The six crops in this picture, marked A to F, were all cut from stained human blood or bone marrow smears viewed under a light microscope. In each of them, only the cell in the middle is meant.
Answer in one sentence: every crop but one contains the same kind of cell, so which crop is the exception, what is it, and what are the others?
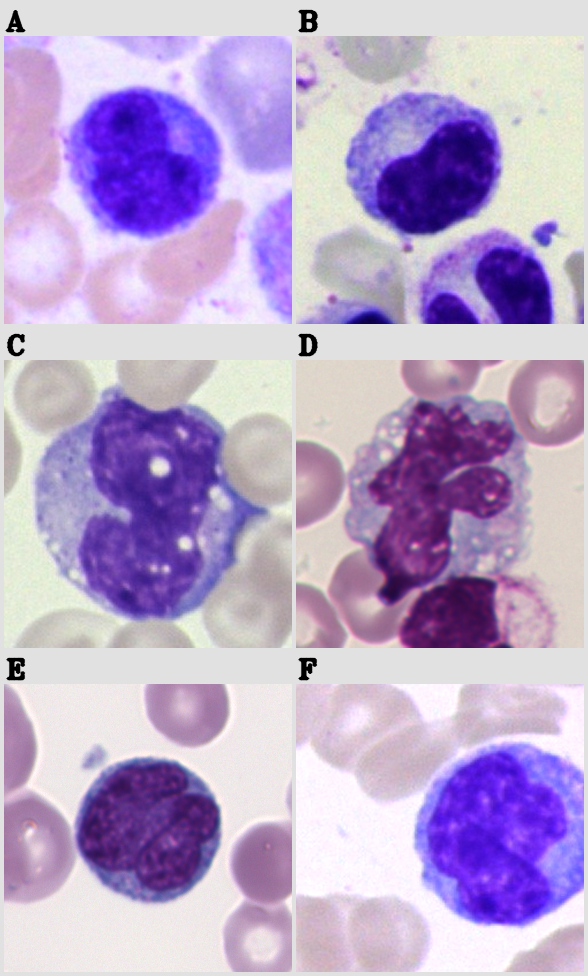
Crop B is the only one that is a metamyelocyte; all the others show monocytes.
